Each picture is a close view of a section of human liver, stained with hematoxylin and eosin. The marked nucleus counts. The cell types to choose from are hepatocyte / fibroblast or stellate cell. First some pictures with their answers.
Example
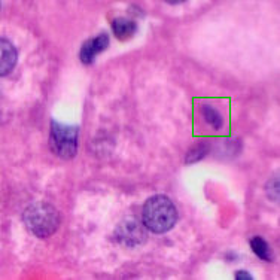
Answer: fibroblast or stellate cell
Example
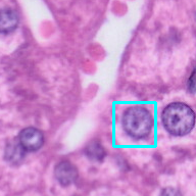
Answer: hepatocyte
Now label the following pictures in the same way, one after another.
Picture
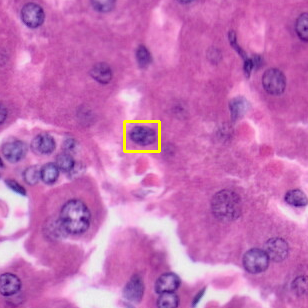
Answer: fibroblast or stellate cell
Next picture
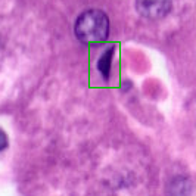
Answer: fibroblast or stellate cell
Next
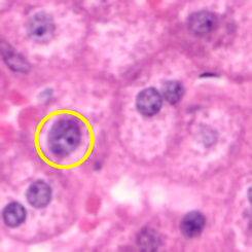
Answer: hepatocyte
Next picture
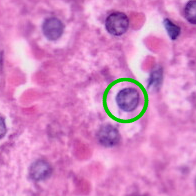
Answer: hepatocyte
